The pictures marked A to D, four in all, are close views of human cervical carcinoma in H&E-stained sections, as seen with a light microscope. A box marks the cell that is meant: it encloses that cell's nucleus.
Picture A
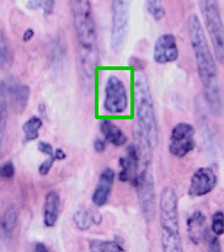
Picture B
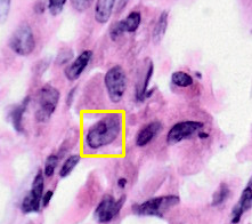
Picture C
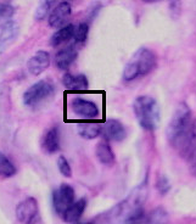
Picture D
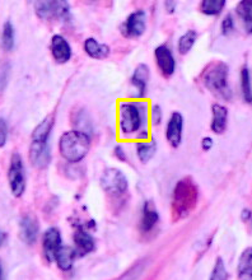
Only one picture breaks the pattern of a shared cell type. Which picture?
B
